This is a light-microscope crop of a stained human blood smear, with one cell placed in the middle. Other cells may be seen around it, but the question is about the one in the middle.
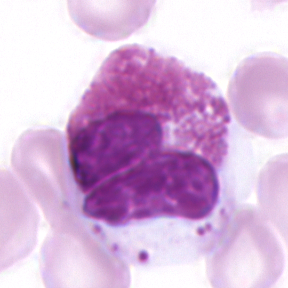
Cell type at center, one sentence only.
The central cell, amid any neighbouring cells, is an eosinophil.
